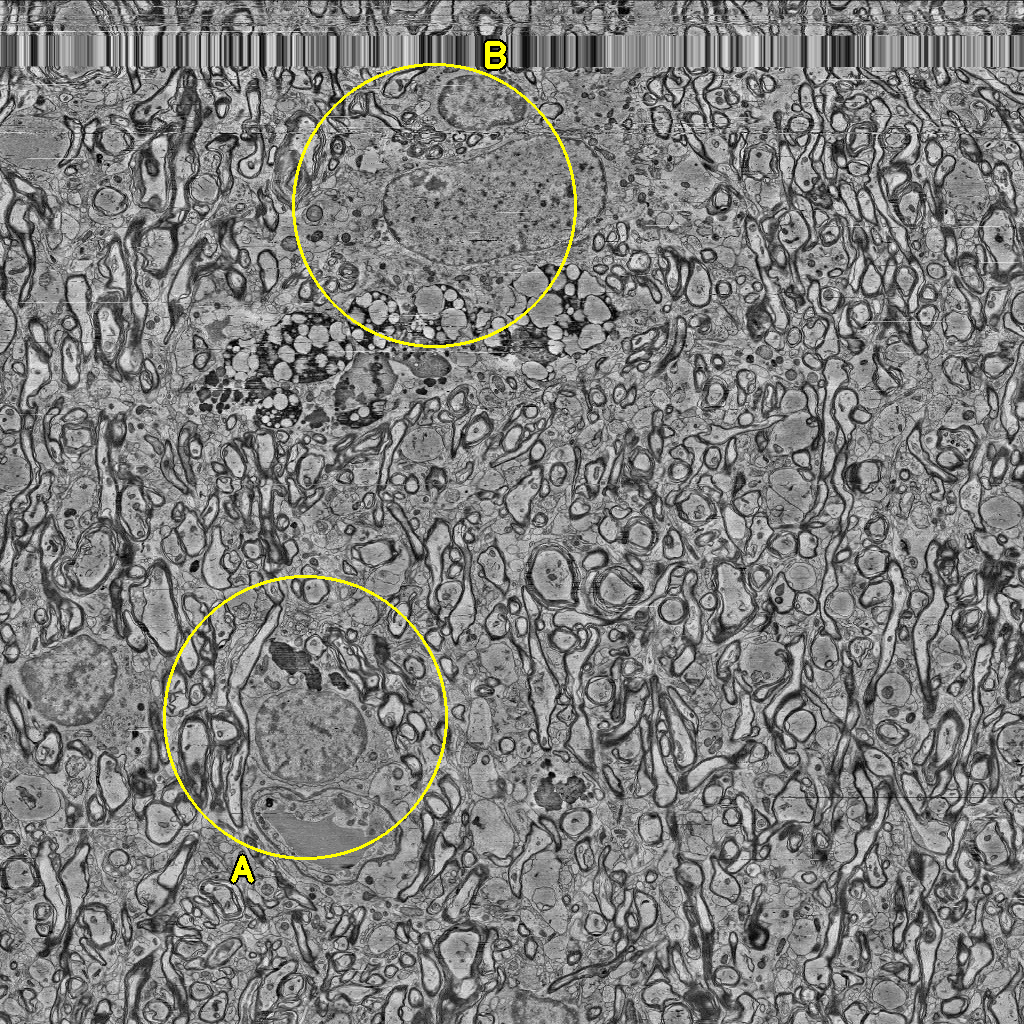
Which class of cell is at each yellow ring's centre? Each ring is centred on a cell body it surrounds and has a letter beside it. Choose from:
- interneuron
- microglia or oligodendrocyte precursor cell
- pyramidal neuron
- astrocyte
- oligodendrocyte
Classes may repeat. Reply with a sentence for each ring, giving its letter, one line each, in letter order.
The ring lettered A is centred on an oligodendrocyte.
The ring lettered B is centred on an astrocyte.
